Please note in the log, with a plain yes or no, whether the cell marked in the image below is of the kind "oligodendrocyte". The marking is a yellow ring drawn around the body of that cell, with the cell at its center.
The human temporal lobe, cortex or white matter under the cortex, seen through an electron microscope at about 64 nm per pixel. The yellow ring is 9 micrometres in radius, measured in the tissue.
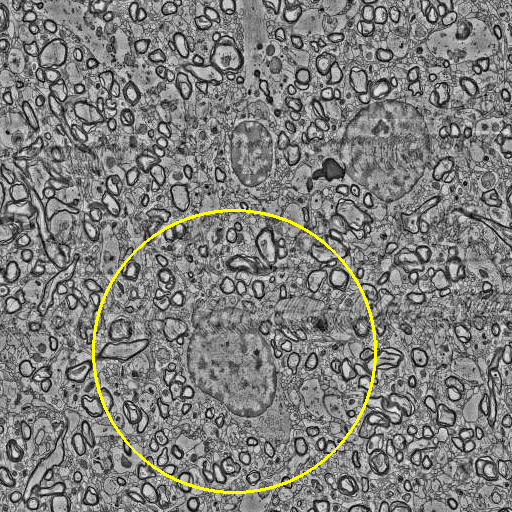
yes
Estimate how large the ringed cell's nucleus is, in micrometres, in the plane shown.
In this plane, roughly 7 by 6 micrometres.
